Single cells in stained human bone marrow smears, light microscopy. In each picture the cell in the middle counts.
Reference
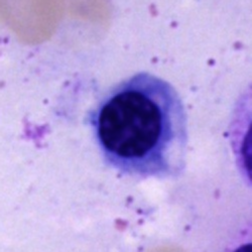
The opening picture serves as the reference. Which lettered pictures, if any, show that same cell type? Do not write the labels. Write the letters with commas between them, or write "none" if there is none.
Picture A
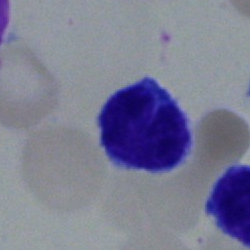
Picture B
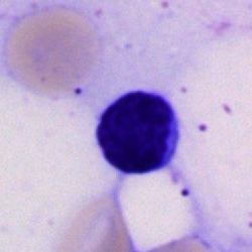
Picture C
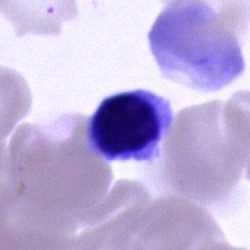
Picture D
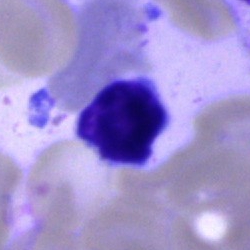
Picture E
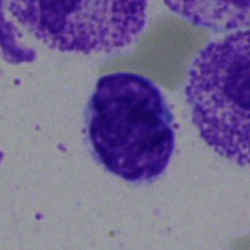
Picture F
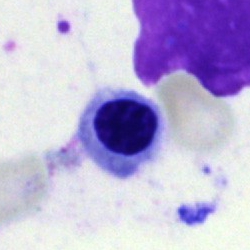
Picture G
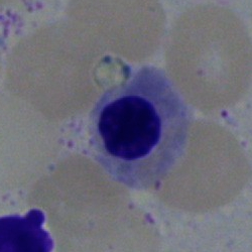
C, F, G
